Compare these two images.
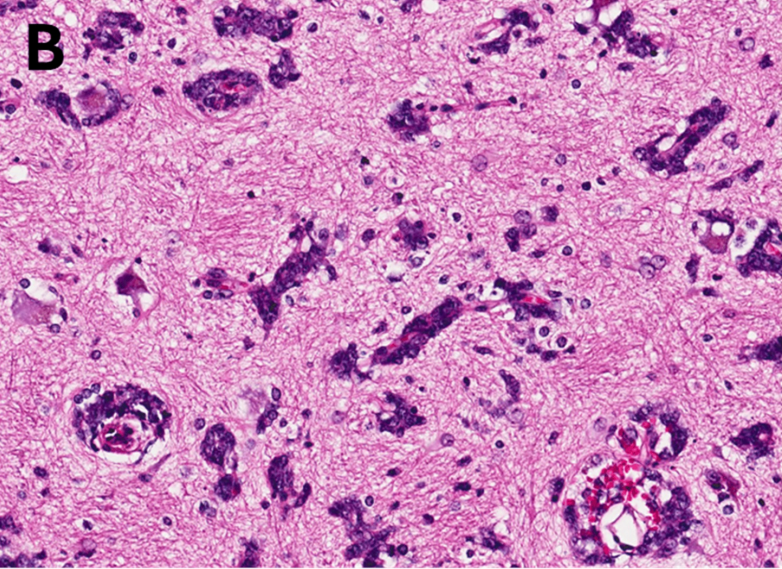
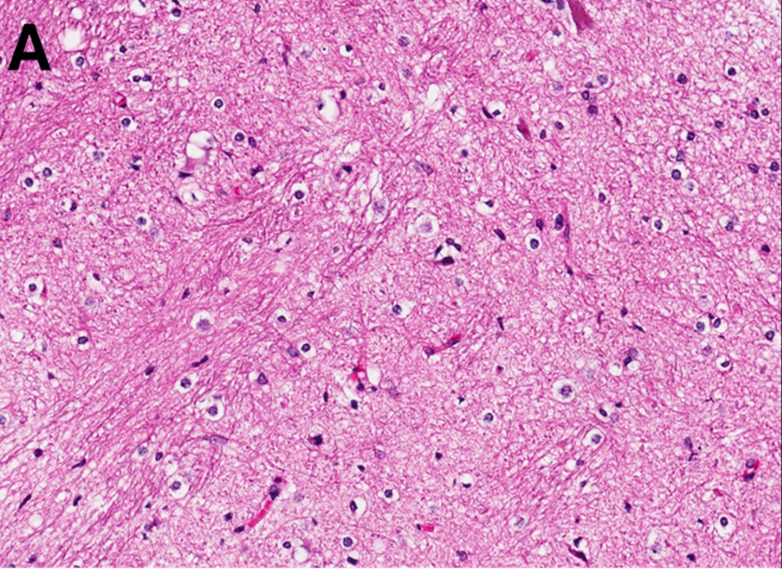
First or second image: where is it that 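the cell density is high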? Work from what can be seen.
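First image: many dark cells packed in clusters around vessels. Second image: only sparse small nuclei scattered evenly in a pale matrix.
Conclusion: the first image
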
